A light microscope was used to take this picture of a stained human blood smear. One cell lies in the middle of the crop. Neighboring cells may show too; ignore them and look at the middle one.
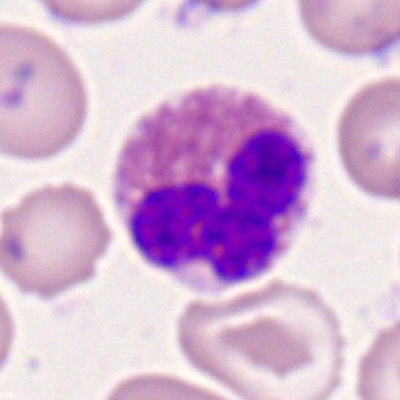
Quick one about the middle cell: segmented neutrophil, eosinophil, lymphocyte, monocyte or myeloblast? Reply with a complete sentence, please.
Located at the centre of the crop is an eosinophil.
